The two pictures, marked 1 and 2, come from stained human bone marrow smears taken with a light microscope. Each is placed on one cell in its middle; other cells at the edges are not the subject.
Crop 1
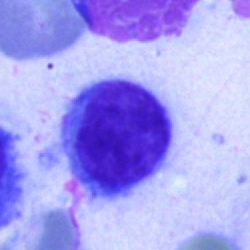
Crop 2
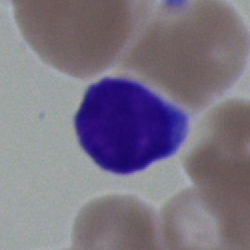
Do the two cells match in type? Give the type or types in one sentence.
Yes, the central cells in both crops are lymphocytes.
